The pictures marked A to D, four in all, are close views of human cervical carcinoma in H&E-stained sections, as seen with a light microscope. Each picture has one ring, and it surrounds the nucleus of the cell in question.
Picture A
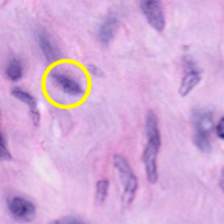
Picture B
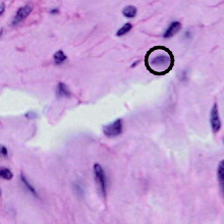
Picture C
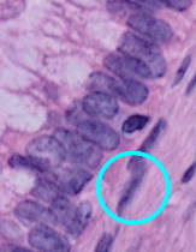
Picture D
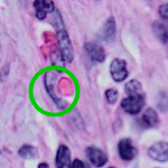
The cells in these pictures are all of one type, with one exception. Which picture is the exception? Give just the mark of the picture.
D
